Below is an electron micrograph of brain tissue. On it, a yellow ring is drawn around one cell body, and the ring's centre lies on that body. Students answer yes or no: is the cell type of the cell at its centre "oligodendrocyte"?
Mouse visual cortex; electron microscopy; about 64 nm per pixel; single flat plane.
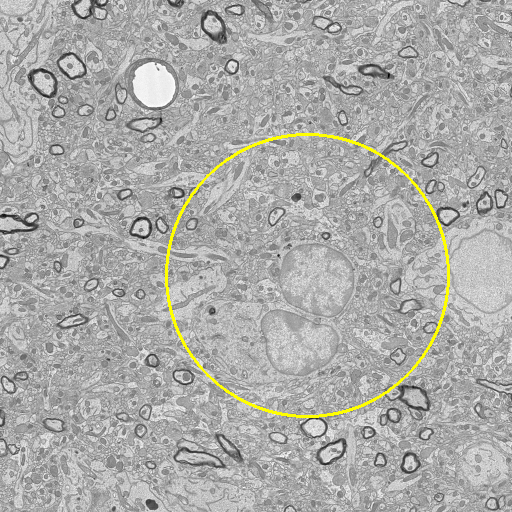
yes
